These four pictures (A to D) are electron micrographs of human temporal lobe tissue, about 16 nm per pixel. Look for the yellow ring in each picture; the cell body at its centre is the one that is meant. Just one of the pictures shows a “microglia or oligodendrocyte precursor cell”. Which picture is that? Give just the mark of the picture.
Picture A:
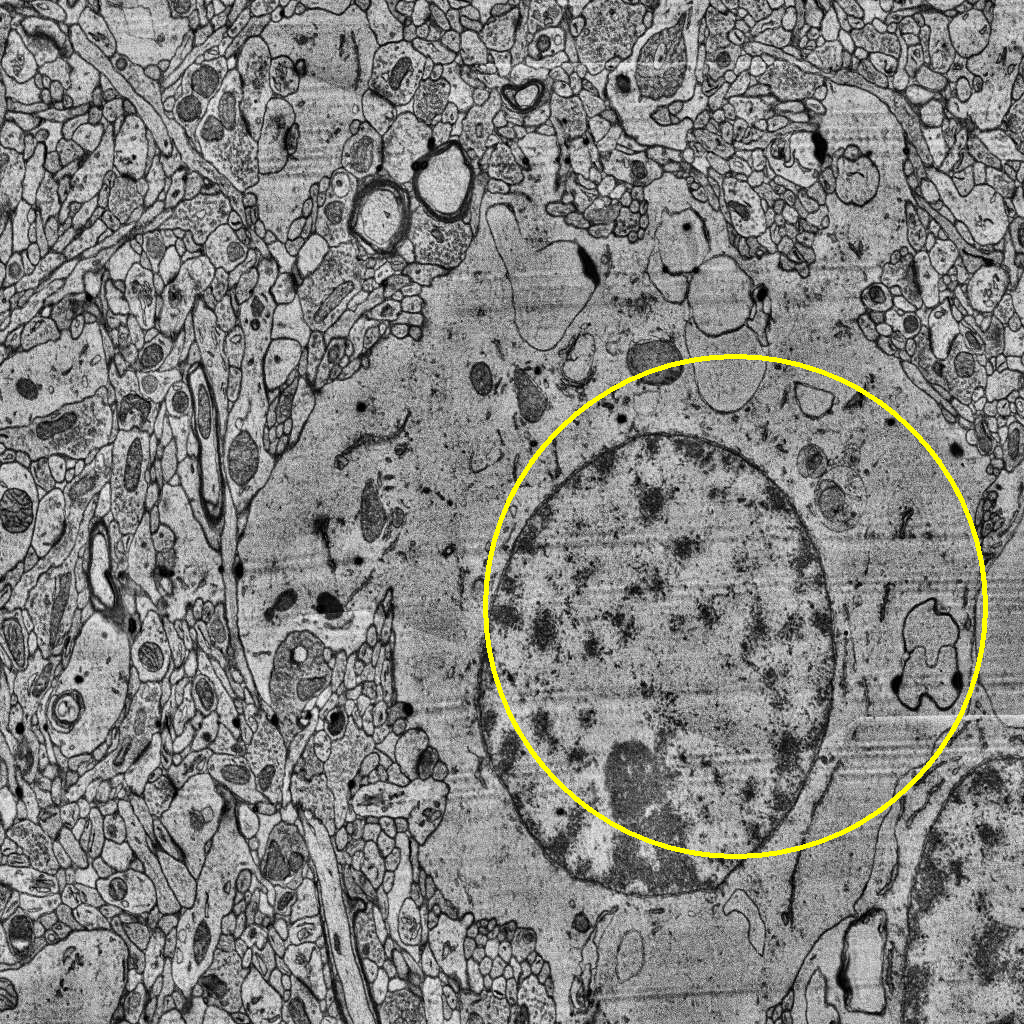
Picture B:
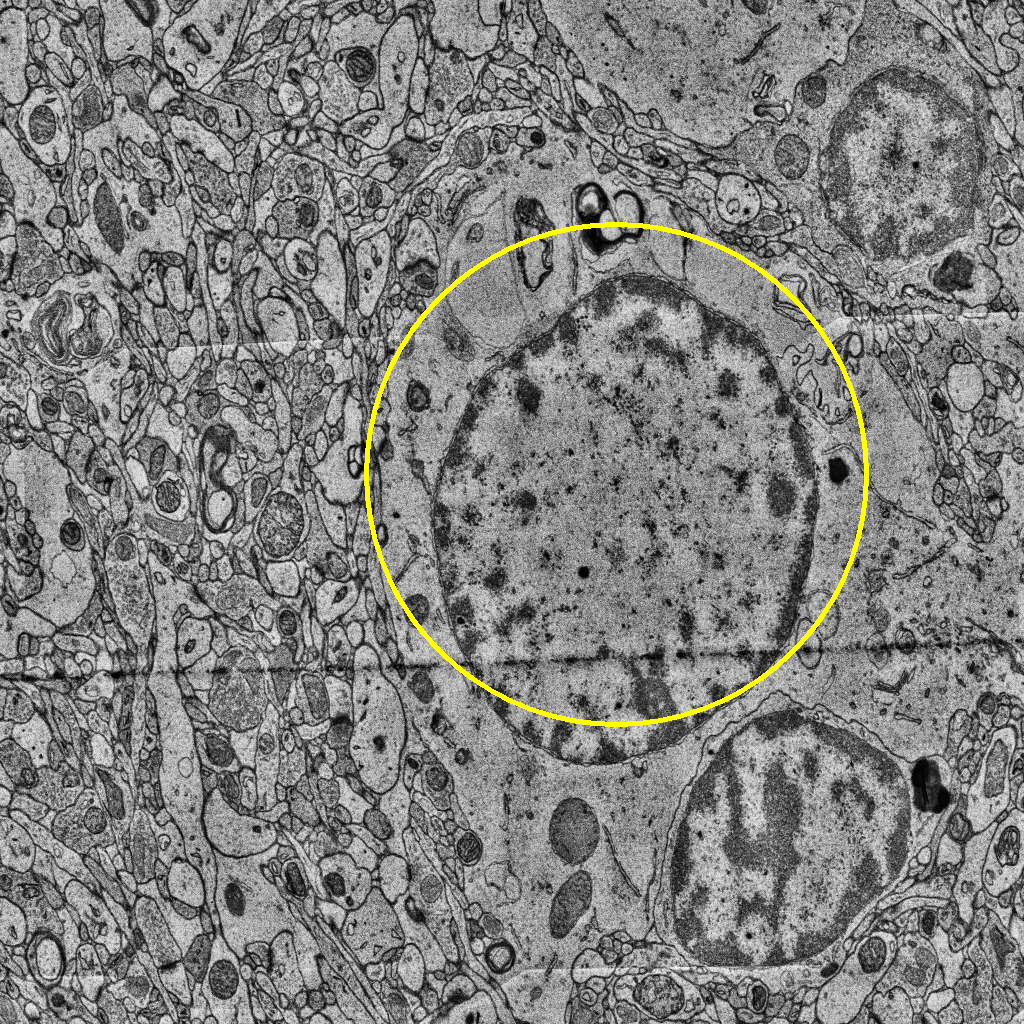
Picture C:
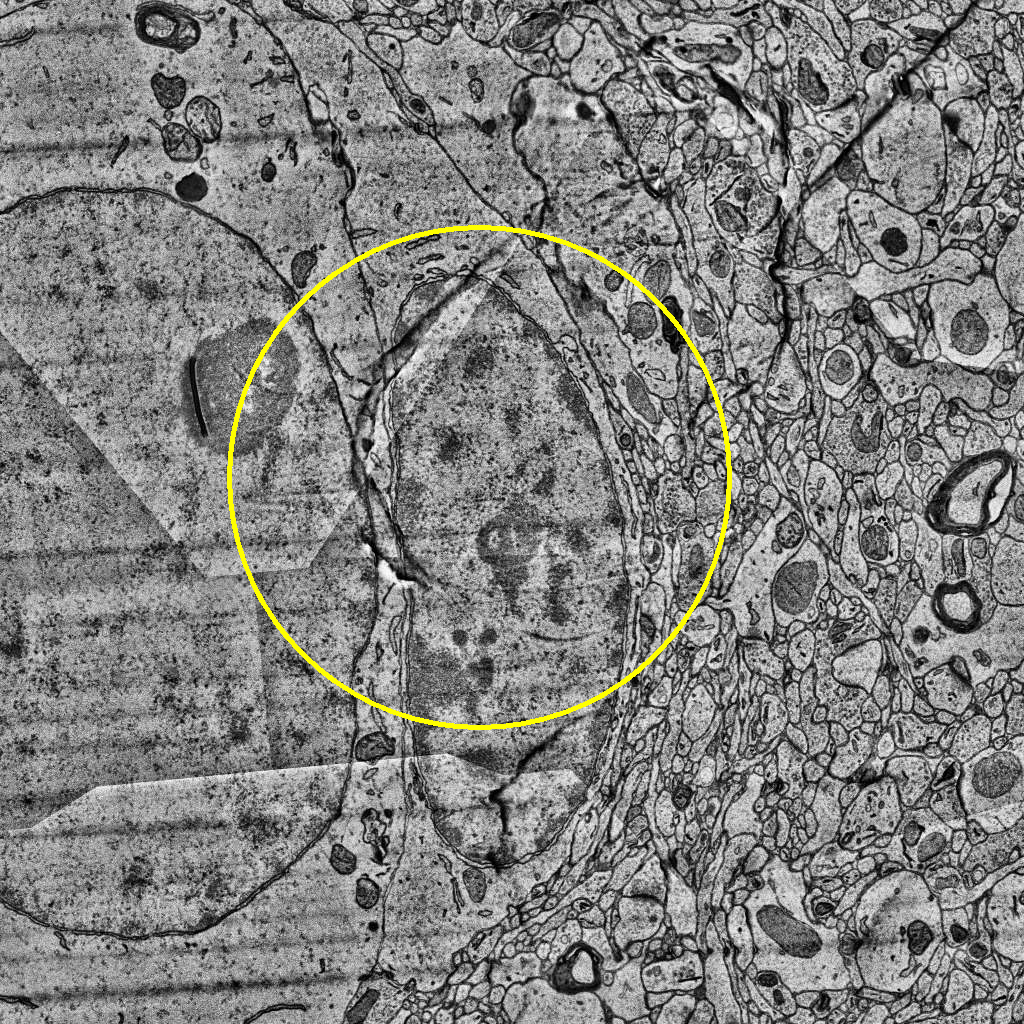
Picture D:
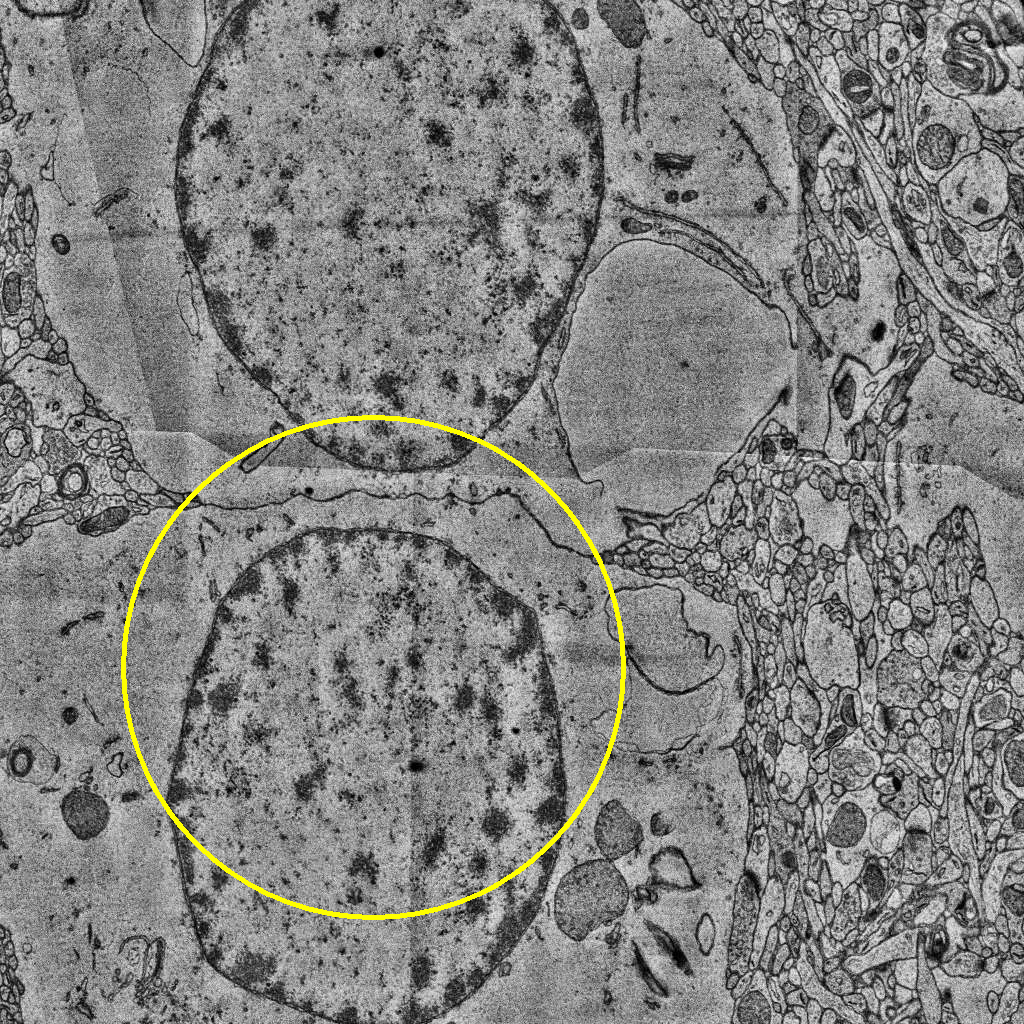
C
